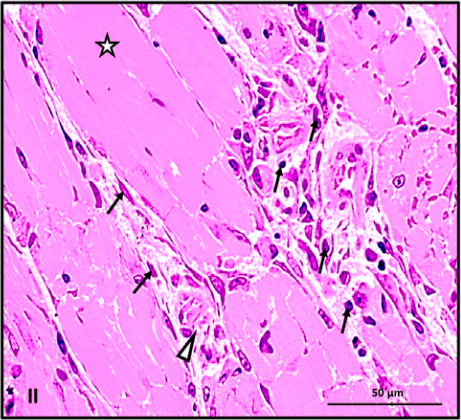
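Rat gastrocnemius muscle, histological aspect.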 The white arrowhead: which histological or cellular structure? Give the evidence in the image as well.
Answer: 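The arrowhead points to a small round profile with a lumen lined by flat cells. It sits in the loose tissue between the fibers.
Answer: blood vessel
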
